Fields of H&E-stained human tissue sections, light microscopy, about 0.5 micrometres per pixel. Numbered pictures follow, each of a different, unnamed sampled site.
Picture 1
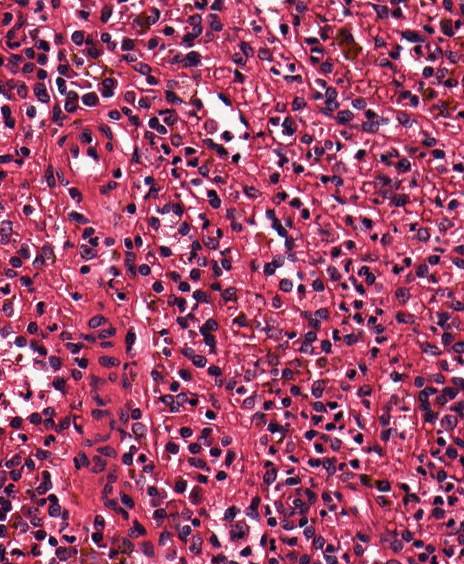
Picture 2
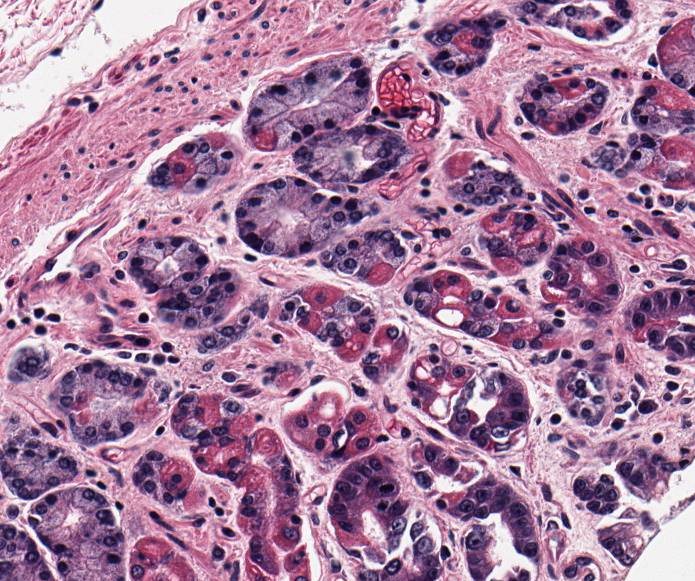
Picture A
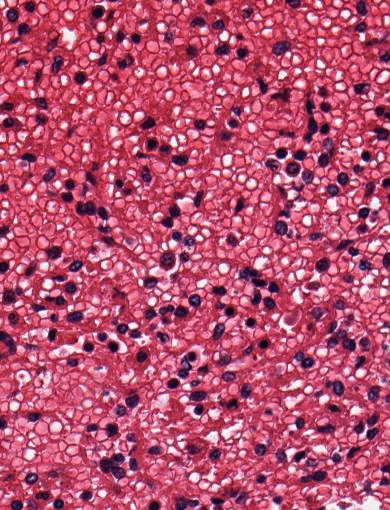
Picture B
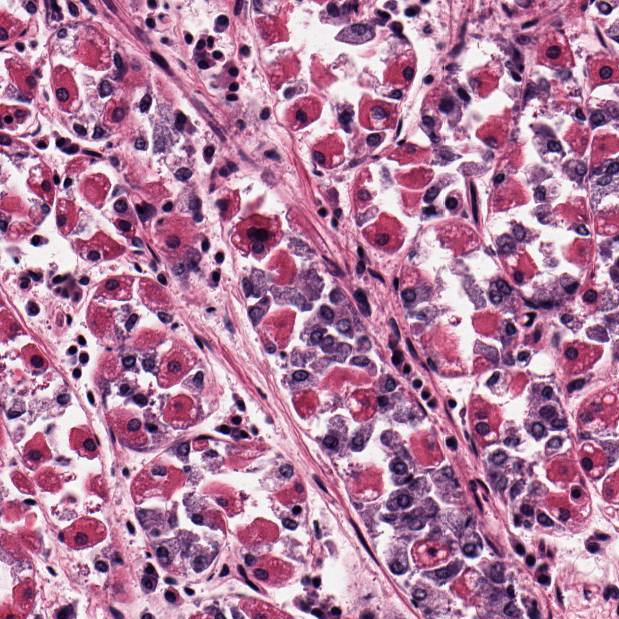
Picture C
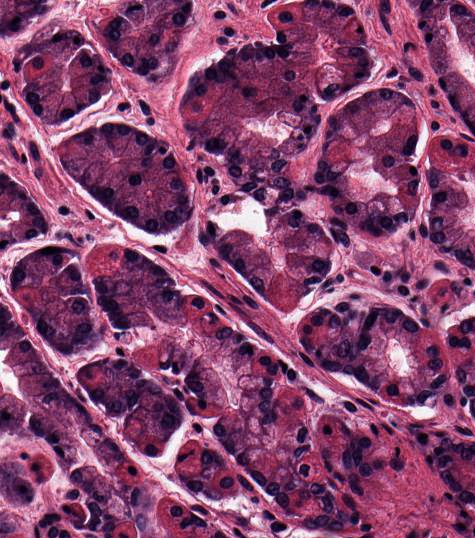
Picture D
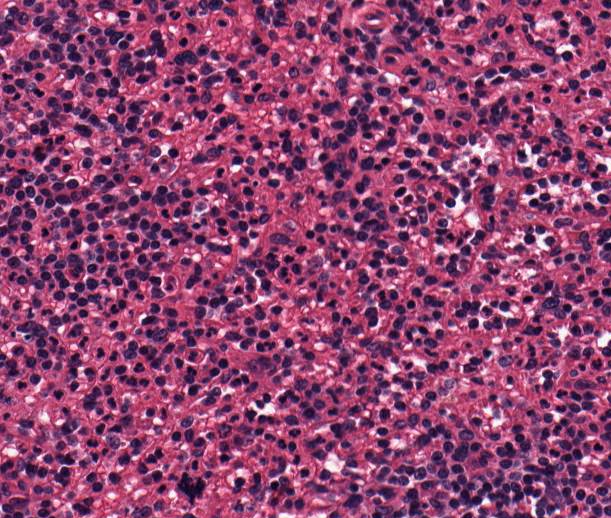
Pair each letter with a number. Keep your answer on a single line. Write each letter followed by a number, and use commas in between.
A 1, B 2, C 2, D 1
